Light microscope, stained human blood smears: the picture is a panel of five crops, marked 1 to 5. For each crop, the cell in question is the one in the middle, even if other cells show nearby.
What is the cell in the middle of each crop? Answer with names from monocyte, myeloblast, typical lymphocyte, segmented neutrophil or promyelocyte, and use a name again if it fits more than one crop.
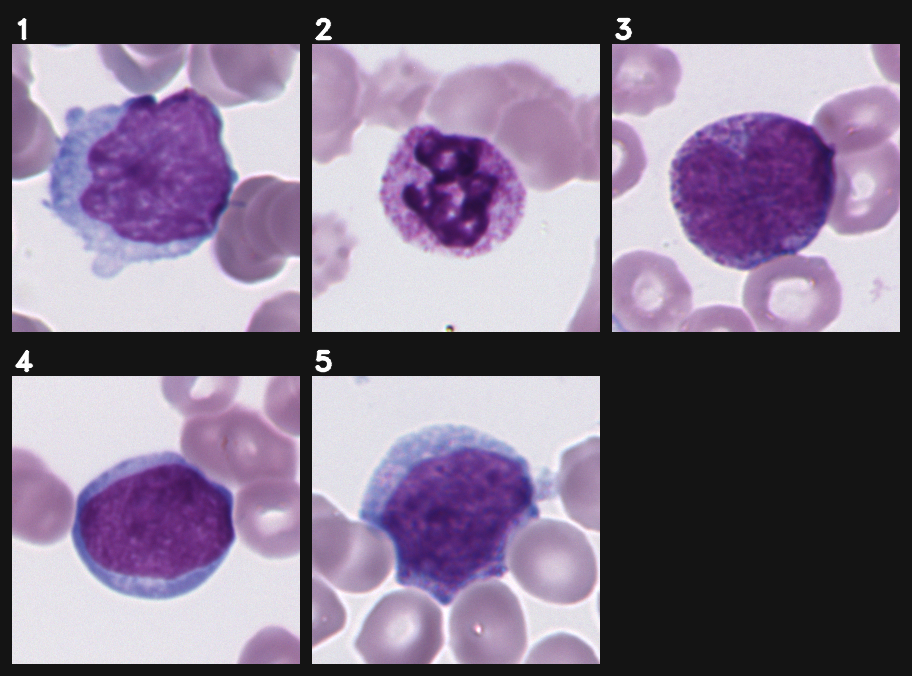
1: myeloblast
2: segmented neutrophil
3: promyelocyte
4: myeloblast
5: promyelocyte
